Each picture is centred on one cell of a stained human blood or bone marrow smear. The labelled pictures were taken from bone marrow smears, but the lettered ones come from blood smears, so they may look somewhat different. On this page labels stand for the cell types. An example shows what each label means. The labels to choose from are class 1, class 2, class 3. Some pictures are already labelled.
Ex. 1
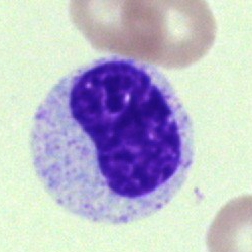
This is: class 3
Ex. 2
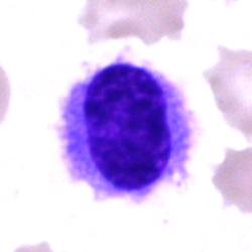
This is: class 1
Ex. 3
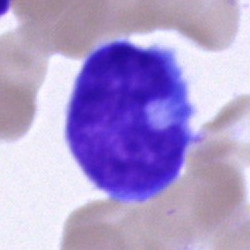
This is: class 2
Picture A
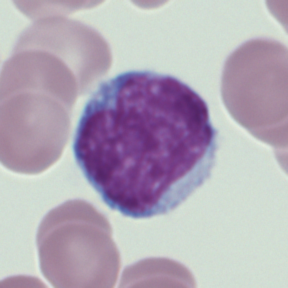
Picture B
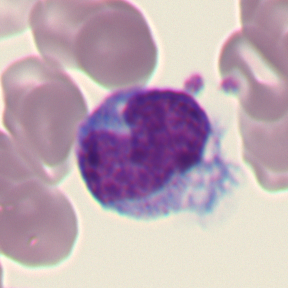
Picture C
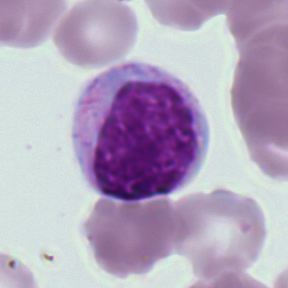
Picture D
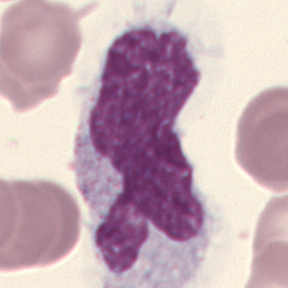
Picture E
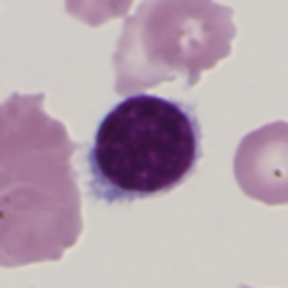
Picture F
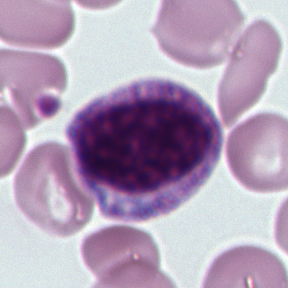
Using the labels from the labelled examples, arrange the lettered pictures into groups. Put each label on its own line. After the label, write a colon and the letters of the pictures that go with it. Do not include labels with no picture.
class 1: E
class 2: A, B, D
class 3: C, F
